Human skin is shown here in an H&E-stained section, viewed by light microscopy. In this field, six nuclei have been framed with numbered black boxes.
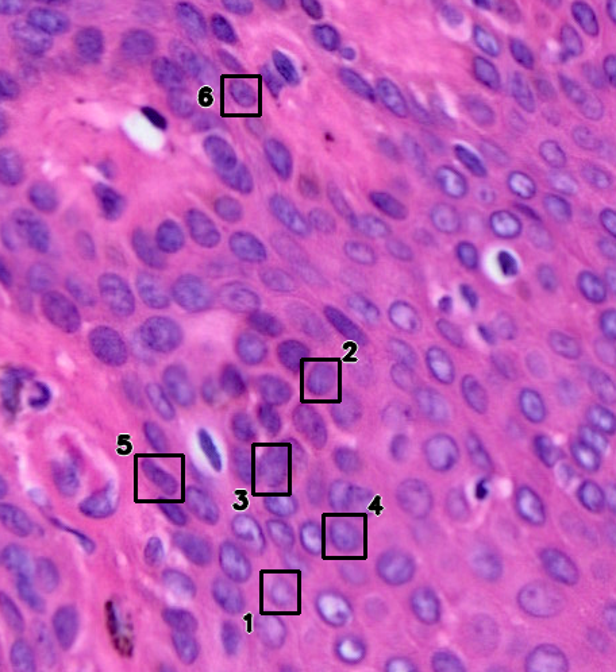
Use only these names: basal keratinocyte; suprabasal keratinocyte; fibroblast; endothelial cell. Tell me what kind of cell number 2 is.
basal keratinocyte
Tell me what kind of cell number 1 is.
suprabasal keratinocyte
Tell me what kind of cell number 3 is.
basal keratinocyte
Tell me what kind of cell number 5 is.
basal keratinocyte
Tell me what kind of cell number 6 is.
basal keratinocyte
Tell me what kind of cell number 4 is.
suprabasal keratinocyte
